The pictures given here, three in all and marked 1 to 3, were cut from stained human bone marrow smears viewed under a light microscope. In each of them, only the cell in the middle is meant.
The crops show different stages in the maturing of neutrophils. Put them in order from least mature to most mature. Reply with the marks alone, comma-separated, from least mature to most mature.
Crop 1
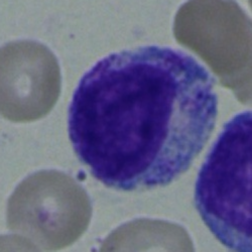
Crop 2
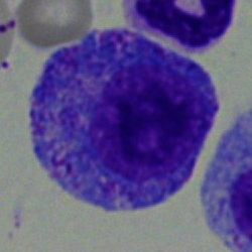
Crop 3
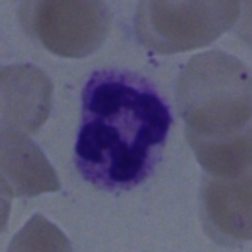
2, 1, 3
